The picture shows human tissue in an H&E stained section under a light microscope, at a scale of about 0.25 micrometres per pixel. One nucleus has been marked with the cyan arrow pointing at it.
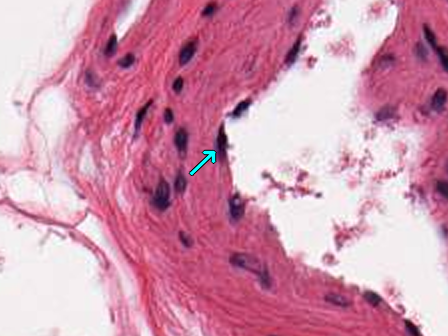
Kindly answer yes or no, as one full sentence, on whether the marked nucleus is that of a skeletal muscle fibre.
No, the marked nucleus is contained in a supporting cell and not in a skeletal muscle fibre.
